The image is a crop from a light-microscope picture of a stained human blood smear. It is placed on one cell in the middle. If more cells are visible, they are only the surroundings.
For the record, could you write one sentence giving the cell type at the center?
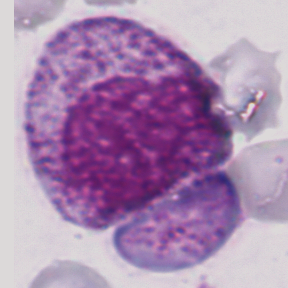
In this smear crop, the middle cell is a myelocyte.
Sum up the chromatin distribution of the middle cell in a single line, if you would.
The chromatin here is fine and lacks any coarse clumps.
